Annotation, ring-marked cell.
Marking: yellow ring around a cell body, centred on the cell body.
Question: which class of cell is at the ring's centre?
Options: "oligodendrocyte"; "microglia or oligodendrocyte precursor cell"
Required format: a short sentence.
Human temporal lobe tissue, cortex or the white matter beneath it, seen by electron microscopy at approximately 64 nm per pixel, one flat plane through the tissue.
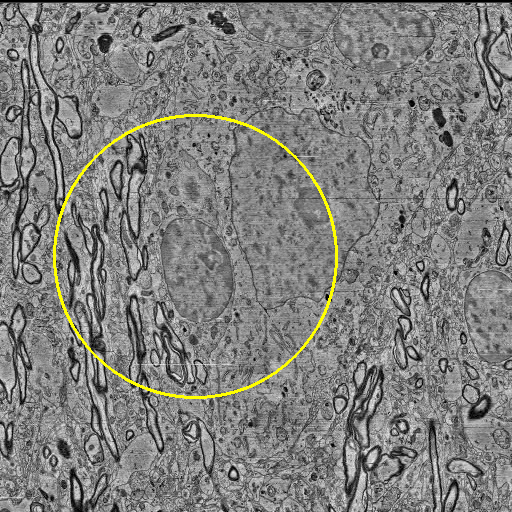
At the ring's centre is an oligodendrocyte.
